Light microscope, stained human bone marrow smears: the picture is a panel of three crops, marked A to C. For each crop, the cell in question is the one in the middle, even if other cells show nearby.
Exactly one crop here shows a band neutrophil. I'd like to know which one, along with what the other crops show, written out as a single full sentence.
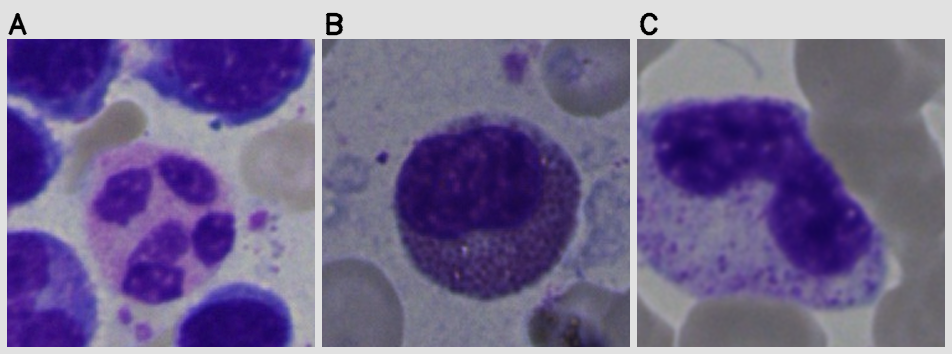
Crop C is recognised as a band neutrophil, whereas crop A is a segmented neutrophil and crop B is an eosinophil.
